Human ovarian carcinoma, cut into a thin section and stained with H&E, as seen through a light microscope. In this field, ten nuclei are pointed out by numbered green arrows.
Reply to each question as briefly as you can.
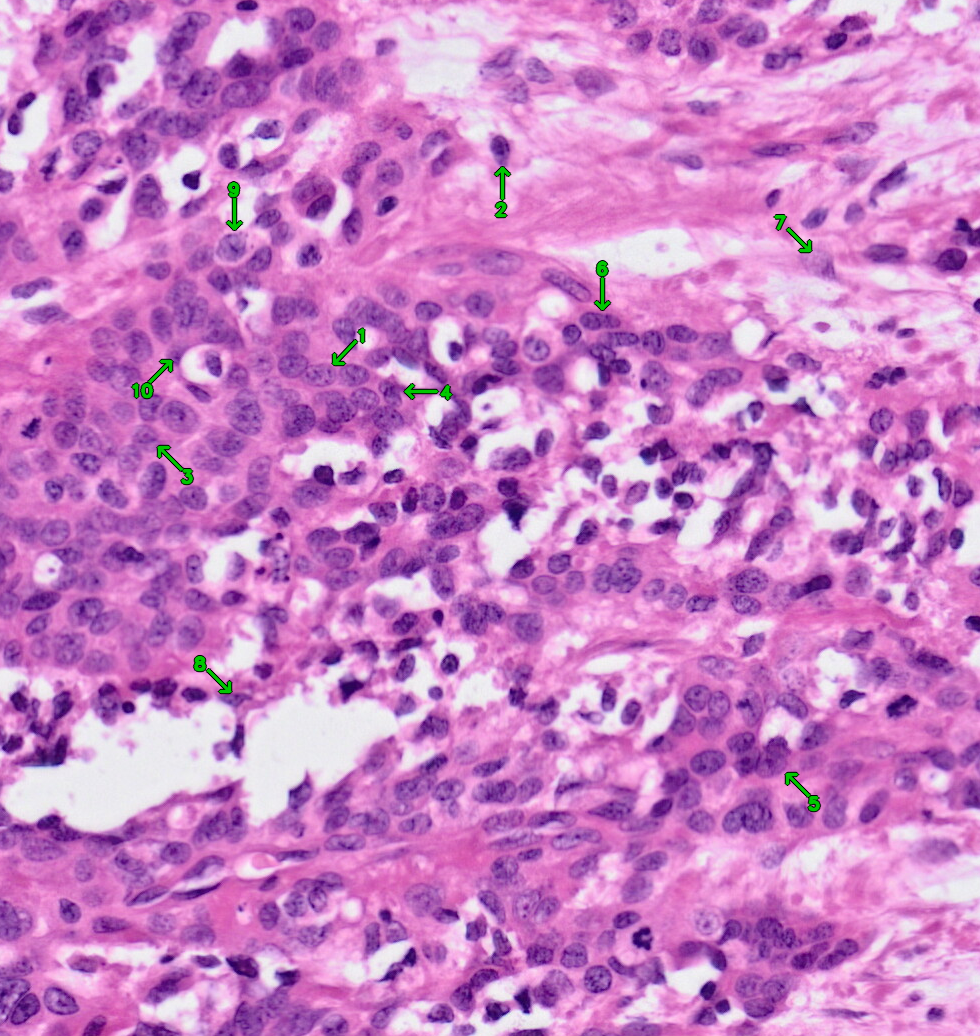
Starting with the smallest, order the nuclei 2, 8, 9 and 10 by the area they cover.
10, 8, 2, 9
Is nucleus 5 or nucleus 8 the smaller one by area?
8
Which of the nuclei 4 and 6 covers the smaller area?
4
